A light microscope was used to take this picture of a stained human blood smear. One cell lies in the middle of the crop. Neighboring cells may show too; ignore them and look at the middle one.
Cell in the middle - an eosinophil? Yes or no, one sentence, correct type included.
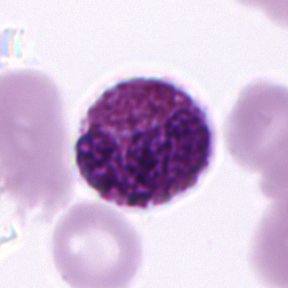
Yes, the cell in the middle has the identity of an eosinophil.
